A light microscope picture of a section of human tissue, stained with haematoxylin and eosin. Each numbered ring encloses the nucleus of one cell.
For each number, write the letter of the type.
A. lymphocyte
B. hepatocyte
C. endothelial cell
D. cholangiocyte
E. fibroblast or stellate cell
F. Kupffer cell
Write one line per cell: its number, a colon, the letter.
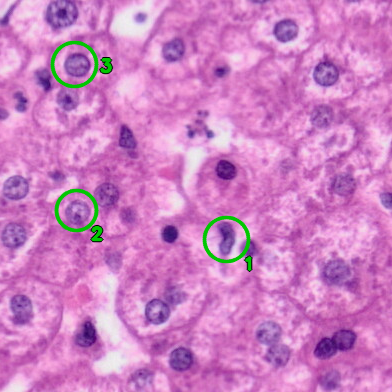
1: F
2: B
3: B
